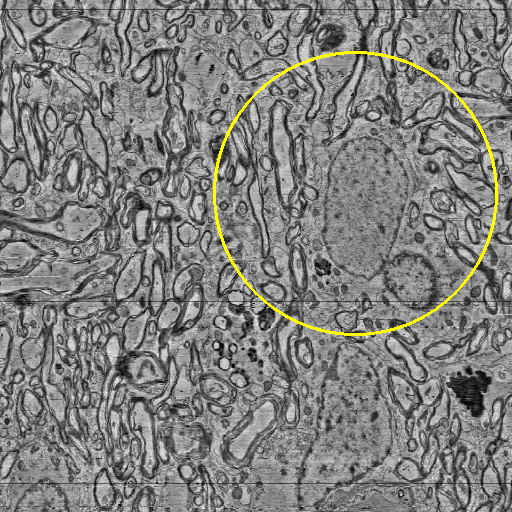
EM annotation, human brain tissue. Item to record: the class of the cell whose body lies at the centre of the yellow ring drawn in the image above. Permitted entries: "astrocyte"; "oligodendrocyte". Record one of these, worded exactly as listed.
astrocyte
